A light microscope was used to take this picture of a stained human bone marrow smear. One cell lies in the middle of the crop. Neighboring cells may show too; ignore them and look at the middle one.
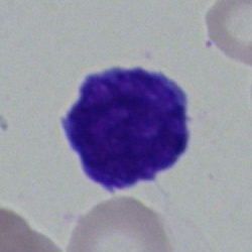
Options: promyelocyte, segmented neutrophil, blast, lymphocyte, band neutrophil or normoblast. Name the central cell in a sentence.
For this crop, the central cell is a blast.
